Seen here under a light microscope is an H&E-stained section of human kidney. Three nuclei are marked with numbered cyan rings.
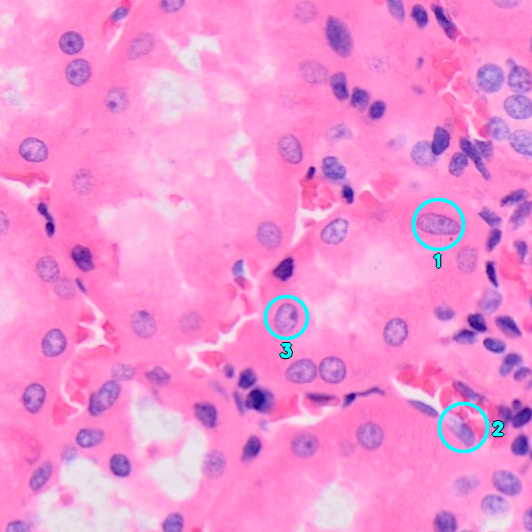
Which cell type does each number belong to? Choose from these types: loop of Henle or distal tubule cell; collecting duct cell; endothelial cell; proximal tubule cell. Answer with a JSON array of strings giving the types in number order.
["proximal tubule cell", "endothelial cell", "proximal tubule cell"]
